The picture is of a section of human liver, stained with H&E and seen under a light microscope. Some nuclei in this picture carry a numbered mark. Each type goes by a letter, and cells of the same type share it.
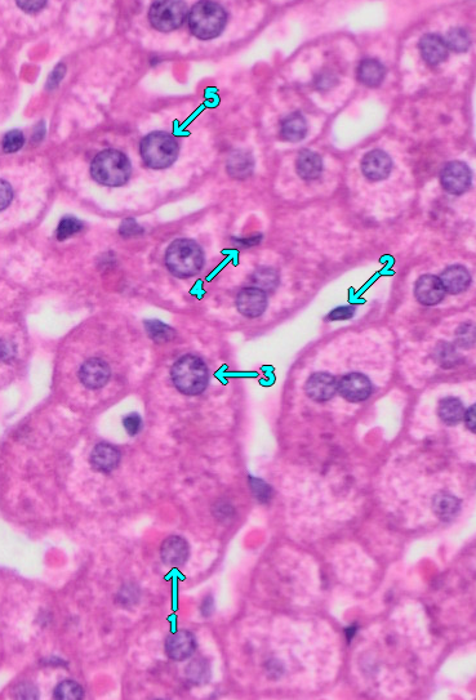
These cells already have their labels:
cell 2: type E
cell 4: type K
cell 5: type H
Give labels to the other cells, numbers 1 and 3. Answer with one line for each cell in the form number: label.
1: type H
3: type H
